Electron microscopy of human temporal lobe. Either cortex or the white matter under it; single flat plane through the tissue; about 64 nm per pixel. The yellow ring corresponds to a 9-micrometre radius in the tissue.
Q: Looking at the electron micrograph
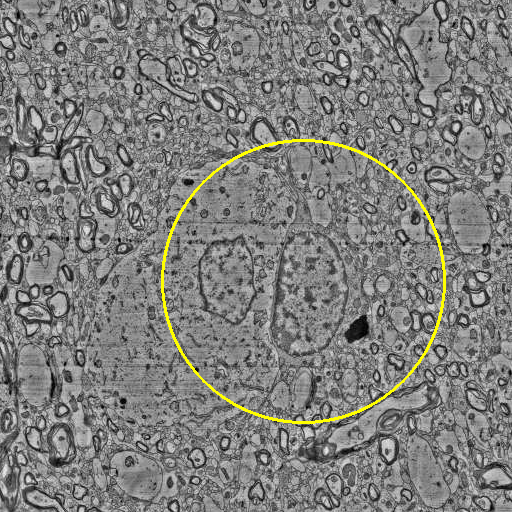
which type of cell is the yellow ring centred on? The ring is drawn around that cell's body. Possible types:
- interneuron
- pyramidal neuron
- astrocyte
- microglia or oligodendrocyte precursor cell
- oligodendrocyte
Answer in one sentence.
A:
The yellow ring is centred on an oligodendrocyte.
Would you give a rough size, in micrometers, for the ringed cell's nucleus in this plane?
The nucleus comes to approximately 8 by 5 micrometres and is clearly longer than it is wide in this plane.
